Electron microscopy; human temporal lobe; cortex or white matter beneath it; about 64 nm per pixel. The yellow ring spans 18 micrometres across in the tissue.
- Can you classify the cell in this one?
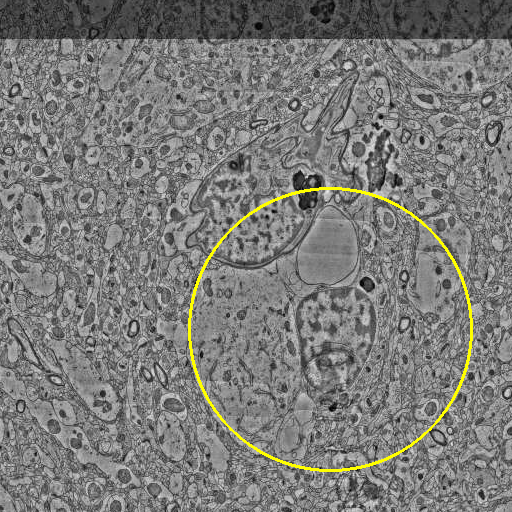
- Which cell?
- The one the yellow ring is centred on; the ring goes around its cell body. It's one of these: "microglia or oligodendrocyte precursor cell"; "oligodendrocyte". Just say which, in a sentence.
The cell body in the ring belongs to a microglial cell or oligodendrocyte precursor cell.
